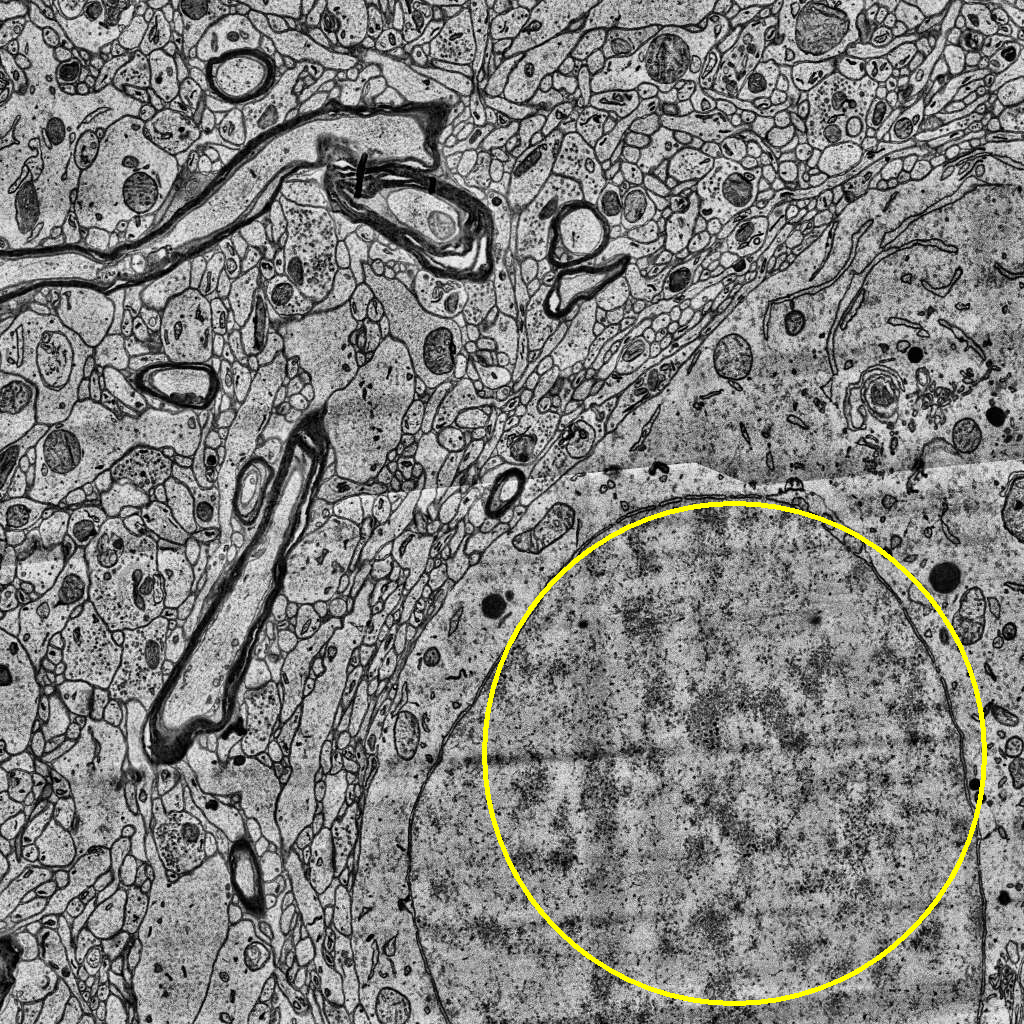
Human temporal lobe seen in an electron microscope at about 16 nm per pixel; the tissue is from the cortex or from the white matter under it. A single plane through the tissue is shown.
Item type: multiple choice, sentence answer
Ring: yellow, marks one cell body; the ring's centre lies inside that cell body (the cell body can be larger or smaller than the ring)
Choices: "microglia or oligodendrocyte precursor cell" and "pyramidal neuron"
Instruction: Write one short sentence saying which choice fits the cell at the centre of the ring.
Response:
The centre of this ring lies on a pyramidal neuron.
